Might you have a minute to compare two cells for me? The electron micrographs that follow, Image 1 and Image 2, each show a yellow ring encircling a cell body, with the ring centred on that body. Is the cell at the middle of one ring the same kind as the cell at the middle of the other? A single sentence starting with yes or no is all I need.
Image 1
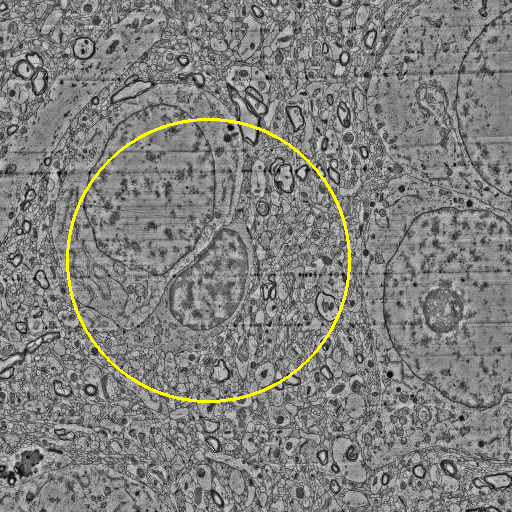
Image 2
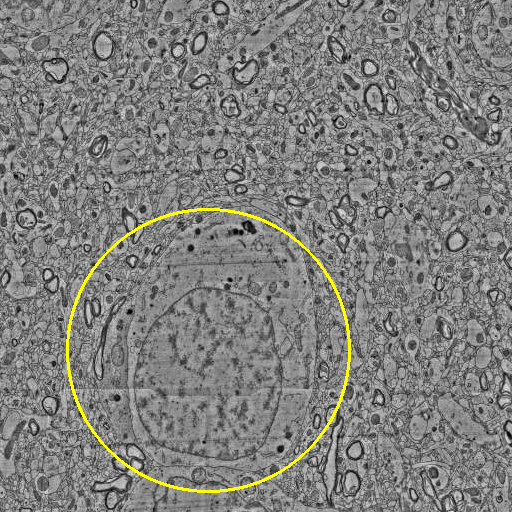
No, the cells in the middle of the two rings are of two separate kinds.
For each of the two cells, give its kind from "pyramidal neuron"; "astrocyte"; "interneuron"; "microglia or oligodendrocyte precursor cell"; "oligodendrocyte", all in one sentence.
The first picture has an oligodendrocyte in its ring, the second has a pyramidal neuron.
